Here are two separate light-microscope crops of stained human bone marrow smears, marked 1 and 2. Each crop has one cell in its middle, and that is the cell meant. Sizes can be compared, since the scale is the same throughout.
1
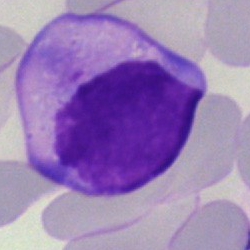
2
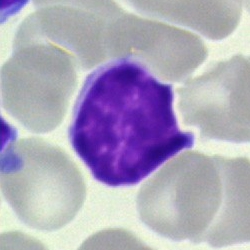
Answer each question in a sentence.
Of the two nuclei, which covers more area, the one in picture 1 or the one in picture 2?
It is the nucleus in picture 1, about 1.5 times as large in area as the one in picture 2.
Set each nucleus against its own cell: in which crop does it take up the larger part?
In picture 2 the nucleus takes up the larger part of its cell.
